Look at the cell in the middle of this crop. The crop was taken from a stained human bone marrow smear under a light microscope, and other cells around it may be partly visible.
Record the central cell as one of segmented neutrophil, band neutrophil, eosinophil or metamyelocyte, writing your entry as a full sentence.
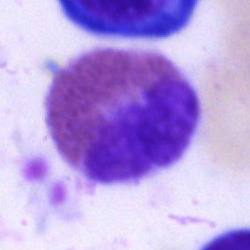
The cell that lies at the centre of the crop is an eosinophil.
